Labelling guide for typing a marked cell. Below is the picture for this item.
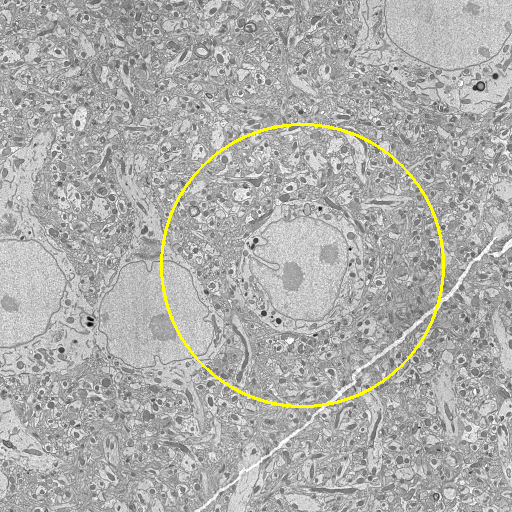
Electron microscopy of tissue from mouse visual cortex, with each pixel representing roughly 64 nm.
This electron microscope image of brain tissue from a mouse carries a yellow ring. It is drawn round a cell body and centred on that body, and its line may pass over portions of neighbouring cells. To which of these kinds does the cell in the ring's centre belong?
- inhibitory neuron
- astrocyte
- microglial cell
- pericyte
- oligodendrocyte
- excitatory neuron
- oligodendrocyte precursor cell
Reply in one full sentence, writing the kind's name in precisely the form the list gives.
Here we have an inhibitory neuron at the centre of the yellow ring in the picture.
